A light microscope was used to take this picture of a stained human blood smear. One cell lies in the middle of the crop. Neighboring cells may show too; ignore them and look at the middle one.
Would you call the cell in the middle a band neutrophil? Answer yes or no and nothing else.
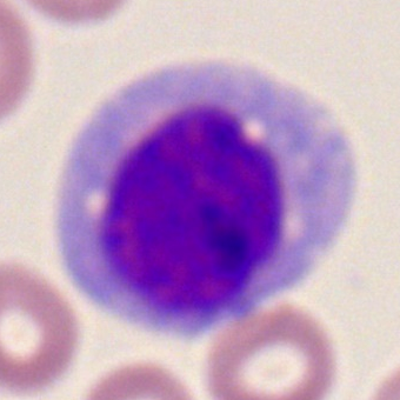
no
